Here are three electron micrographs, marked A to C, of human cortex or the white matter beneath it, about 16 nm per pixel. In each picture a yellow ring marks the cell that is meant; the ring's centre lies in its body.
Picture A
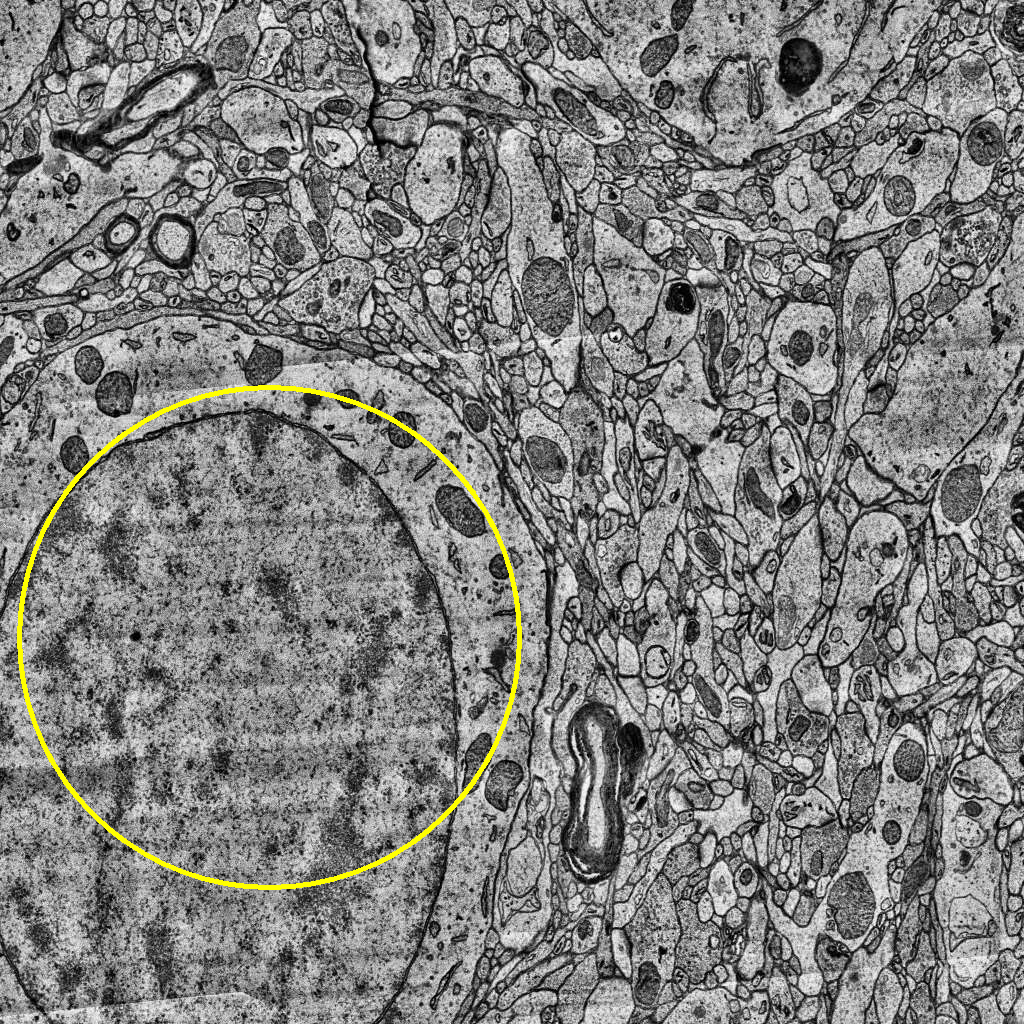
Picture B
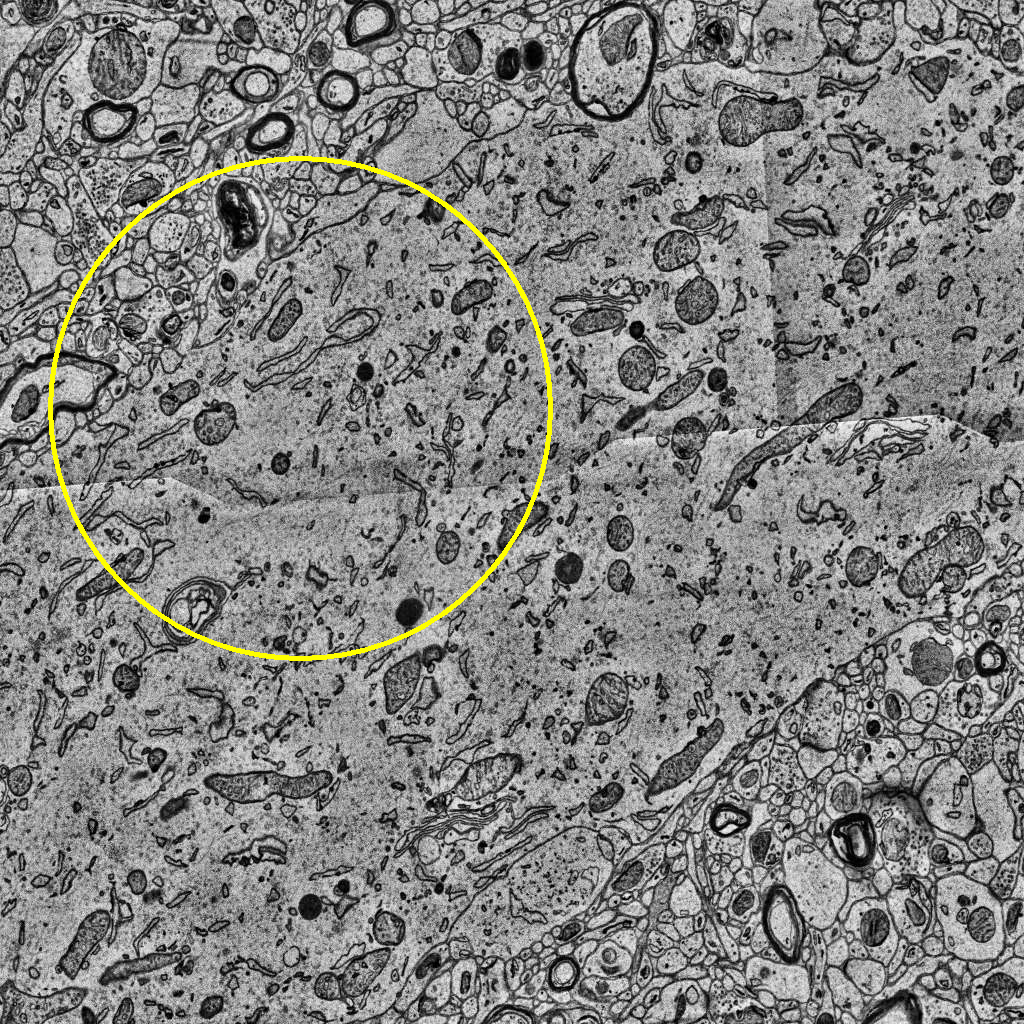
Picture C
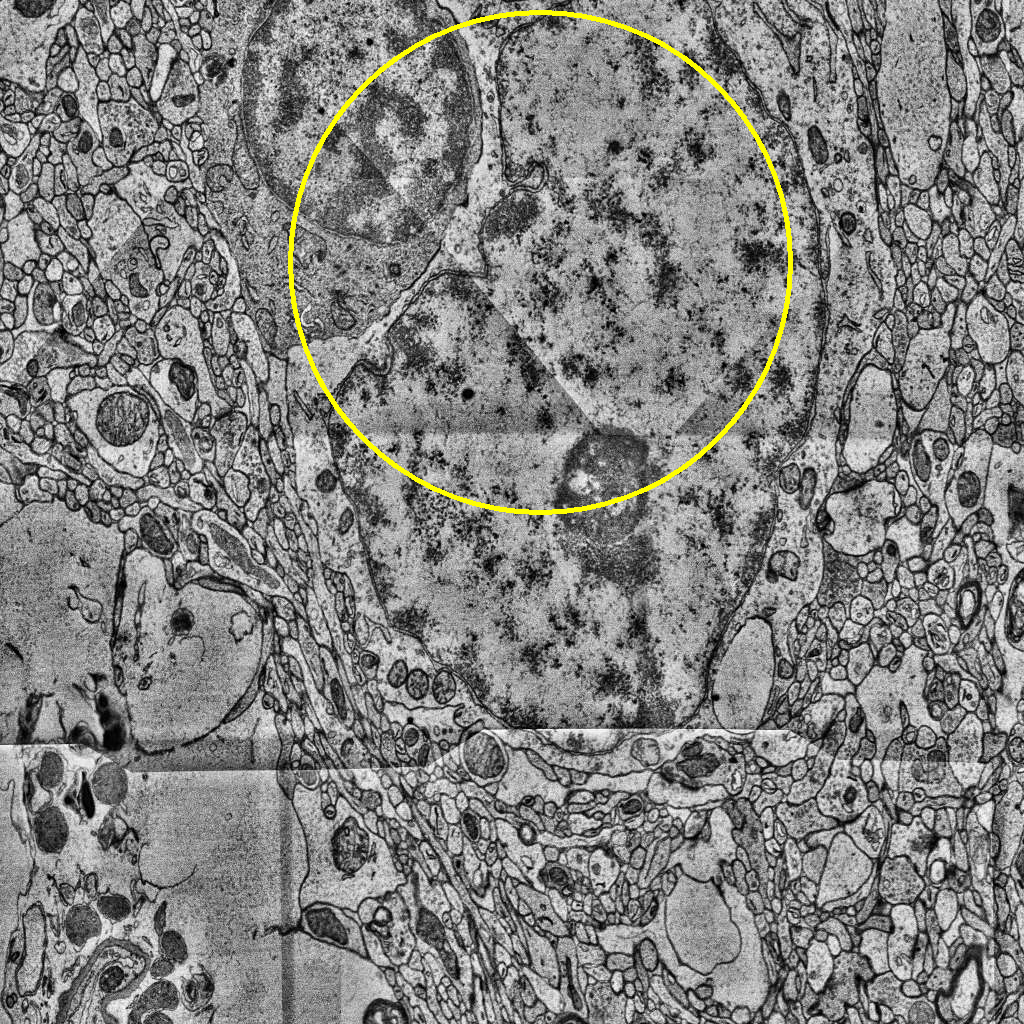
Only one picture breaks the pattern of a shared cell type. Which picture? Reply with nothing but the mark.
C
